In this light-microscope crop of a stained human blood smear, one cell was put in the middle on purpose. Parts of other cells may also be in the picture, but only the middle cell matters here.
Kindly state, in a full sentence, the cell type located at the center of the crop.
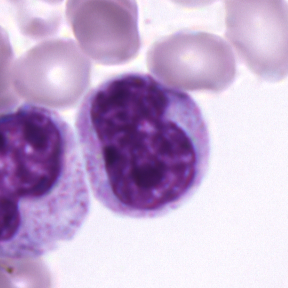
The central element of this crop is a cell, namely a metamyelocyte.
